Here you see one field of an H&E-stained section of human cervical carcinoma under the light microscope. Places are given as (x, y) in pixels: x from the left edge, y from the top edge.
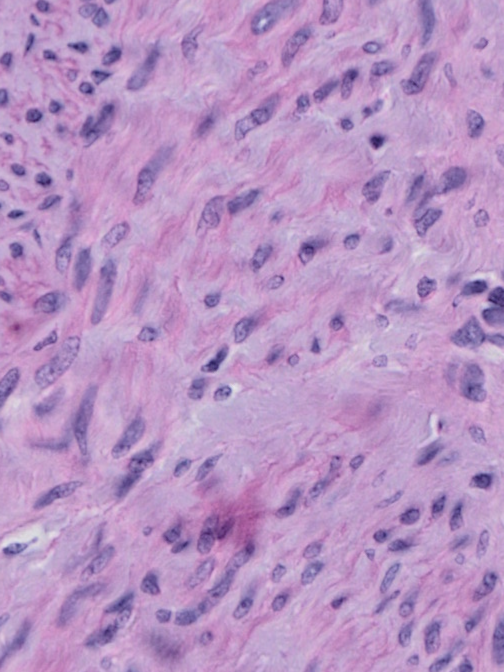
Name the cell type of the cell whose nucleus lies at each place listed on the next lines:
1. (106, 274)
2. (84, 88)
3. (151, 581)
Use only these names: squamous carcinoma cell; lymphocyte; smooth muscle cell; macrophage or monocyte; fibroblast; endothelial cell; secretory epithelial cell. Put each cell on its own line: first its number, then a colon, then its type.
1: smooth muscle cell
2: smooth muscle cell
3: fibroblast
